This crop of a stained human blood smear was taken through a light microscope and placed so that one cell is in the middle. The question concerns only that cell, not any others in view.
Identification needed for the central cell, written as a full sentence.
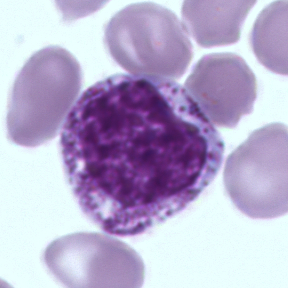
What sits at the centre of this crop is a metamyelocyte.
